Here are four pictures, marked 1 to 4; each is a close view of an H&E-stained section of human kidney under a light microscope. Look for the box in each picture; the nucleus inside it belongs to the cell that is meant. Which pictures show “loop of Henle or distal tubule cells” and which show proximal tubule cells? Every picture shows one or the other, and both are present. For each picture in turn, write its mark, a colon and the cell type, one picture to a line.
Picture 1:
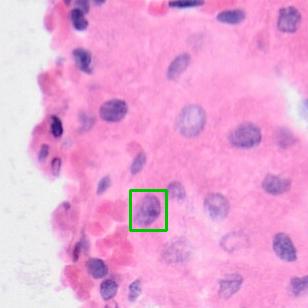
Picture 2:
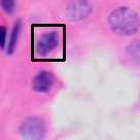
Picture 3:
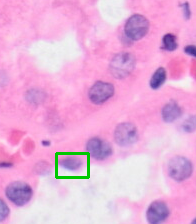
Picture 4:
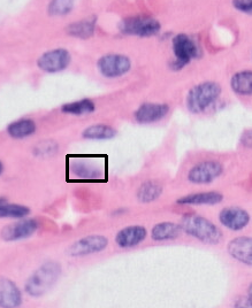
1: proximal tubule cell
2: loop of Henle or distal tubule cell
3: loop of Henle or distal tubule cell
4: loop of Henle or distal tubule cell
